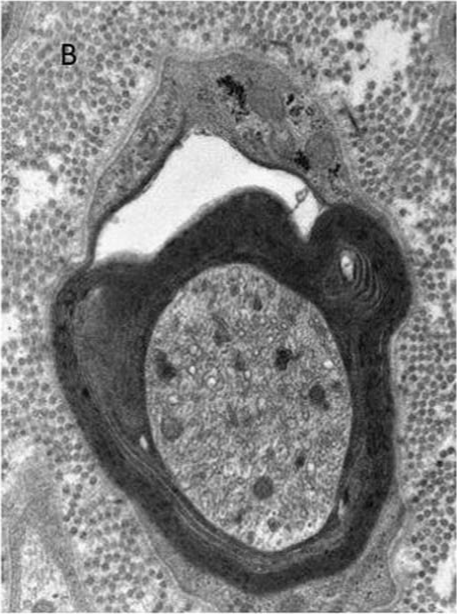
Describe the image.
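A single myelinated nerve fiber in cross section, its oval axon holding mitochondria and small vesicles, surrounded by a thick dark myelin sheath whose lamellae are loosened and split in places. A large clear space lies between the myelin and the Schwann cell cytoplasm above the fiber. Cross-cut collagen fibrils fill the endoneurium around it.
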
